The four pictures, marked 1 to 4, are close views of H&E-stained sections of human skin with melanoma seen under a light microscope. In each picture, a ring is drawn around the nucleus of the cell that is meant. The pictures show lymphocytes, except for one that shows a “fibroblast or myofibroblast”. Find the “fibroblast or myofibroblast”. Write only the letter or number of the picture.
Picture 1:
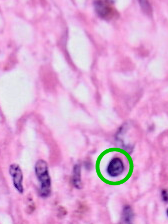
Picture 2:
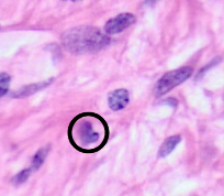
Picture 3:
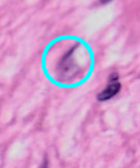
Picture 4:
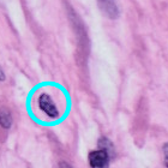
3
